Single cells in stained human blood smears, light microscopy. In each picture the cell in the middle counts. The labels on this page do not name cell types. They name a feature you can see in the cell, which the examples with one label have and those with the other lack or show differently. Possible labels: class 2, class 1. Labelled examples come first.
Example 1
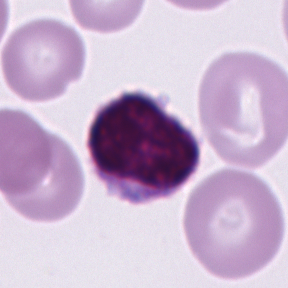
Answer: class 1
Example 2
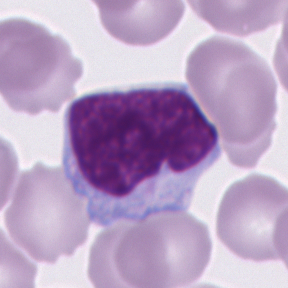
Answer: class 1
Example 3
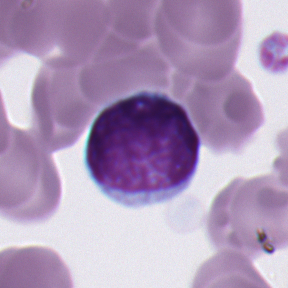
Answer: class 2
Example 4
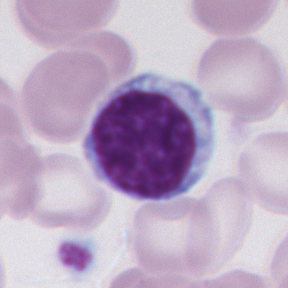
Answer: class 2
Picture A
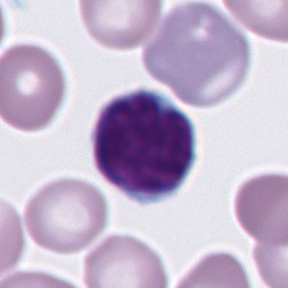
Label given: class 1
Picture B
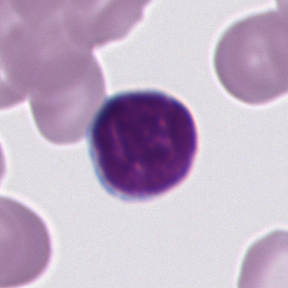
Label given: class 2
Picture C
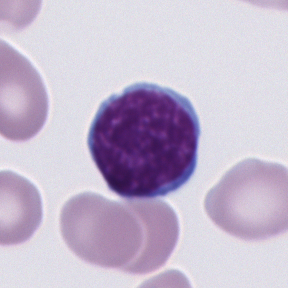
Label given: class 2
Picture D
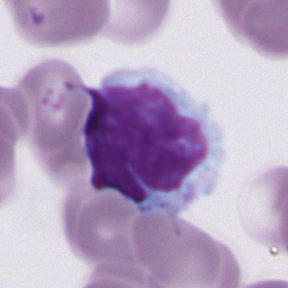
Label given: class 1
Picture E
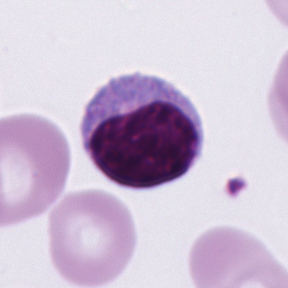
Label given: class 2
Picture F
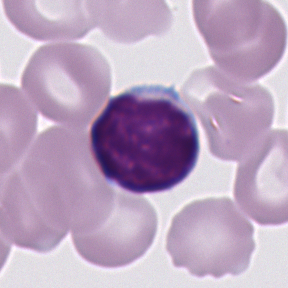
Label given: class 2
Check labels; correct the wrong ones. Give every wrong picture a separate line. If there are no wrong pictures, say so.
Wrong: A (class 1); correct: class 2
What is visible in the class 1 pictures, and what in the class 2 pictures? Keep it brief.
class 1, ragged outline or projections; class 2, smooth outline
